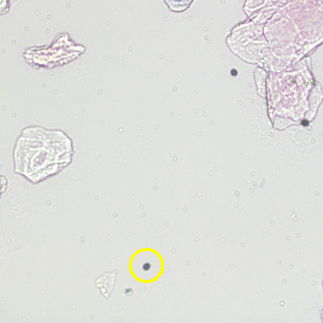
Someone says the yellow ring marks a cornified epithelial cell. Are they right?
They are not: the ring marks a leukocyte.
